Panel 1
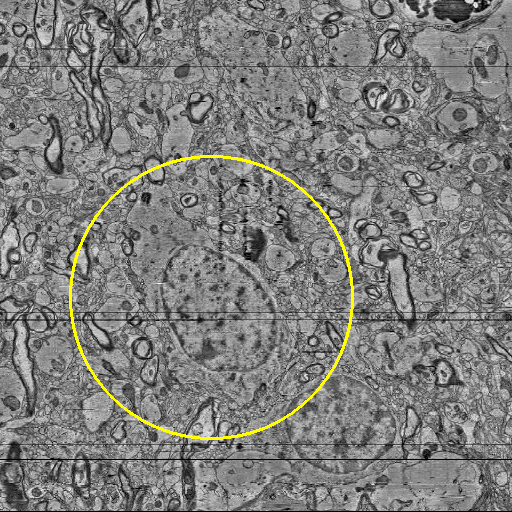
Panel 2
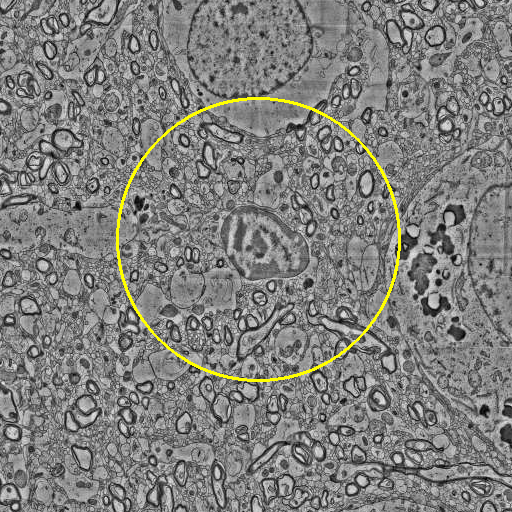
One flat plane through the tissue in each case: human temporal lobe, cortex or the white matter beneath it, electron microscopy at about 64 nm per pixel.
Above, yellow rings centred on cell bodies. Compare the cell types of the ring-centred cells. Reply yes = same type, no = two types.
yes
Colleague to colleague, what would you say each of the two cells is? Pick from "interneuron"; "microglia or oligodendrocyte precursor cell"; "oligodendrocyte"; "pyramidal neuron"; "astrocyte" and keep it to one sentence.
Each of the ringed cells, first and second, is a microglial cell or oligodendrocyte precursor cell.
